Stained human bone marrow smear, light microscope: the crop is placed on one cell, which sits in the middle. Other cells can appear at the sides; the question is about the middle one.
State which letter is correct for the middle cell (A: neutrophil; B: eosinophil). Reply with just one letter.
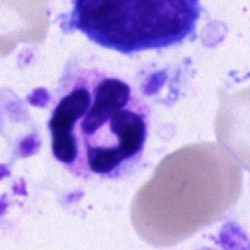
A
